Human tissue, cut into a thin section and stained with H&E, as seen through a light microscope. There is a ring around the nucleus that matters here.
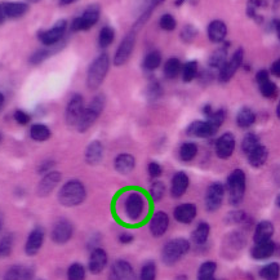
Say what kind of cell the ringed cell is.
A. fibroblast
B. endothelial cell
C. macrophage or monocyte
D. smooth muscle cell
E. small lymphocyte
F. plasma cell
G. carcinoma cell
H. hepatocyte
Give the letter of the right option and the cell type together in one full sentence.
Option F is the correct one: the ringed cell is a plasma cell.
